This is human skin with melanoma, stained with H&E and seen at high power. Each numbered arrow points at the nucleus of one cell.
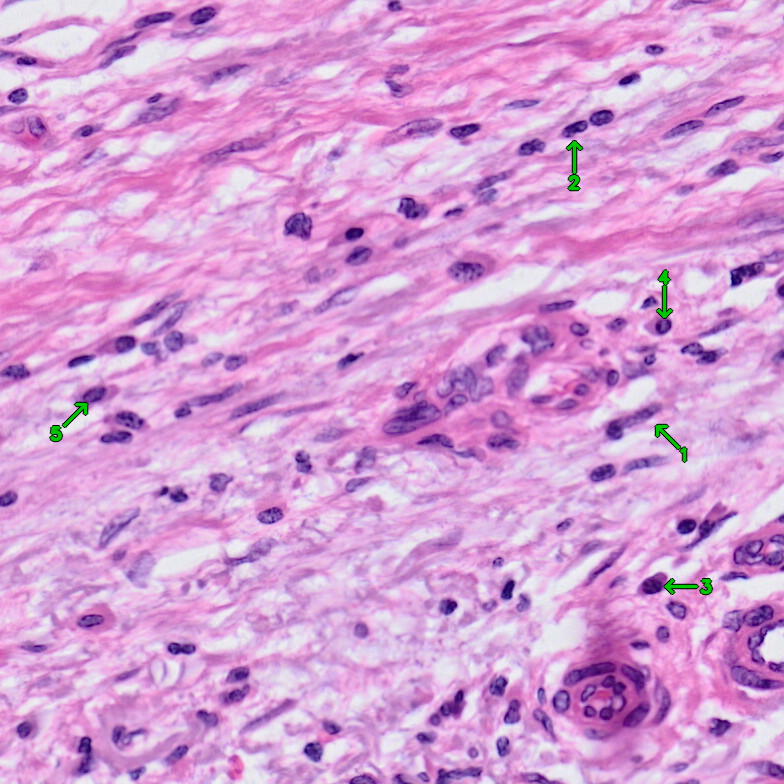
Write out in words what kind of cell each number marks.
Cell 1 is a macrophage or monocyte. Cell 2 is a lymphocyte. Cells 3, 4 and 5 are plasma cells.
